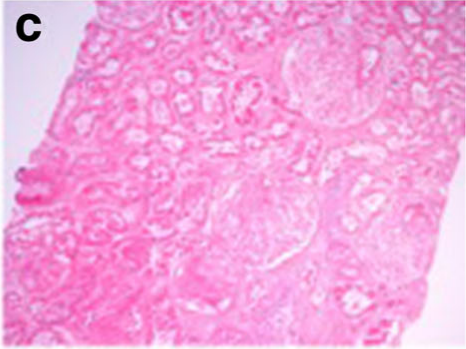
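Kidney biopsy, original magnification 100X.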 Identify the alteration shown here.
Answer: Cortical necrosis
